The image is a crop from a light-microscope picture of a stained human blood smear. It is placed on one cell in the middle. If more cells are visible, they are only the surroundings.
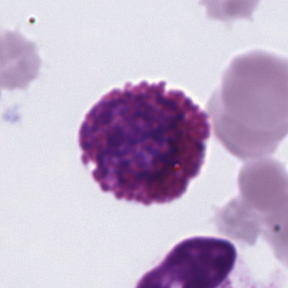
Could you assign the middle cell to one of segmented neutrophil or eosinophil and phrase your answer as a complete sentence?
Present in the middle of the crop is an eosinophil.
